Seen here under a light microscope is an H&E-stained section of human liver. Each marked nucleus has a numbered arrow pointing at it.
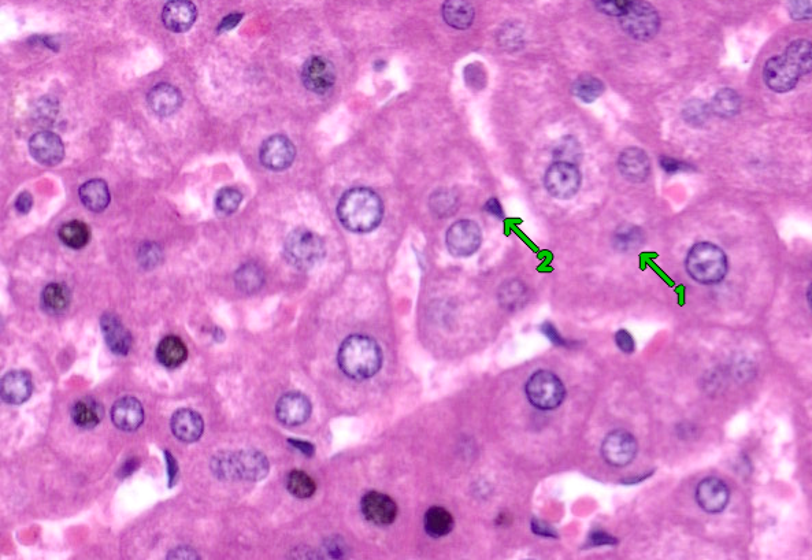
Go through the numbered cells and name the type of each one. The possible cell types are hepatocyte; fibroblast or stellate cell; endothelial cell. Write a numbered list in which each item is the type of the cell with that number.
1. hepatocyte
2. fibroblast or stellate cell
